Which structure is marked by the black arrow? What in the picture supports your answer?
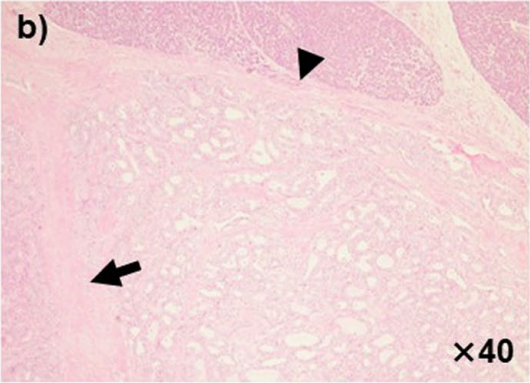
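The arrow points to a broad band of pale pink, cell-poor tissue at the left edge of the lesion. The band lacks the small glandular spaces seen elsewhere in the lesion.
Thick fibrous interstitium.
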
